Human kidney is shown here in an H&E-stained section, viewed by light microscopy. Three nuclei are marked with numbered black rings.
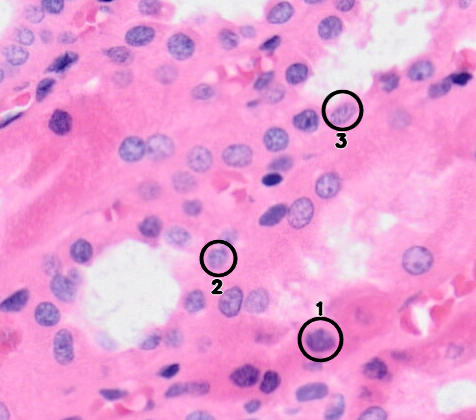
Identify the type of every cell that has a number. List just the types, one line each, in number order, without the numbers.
proximal tubule cell
loop of Henle or distal tubule cell
loop of Henle or distal tubule cell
